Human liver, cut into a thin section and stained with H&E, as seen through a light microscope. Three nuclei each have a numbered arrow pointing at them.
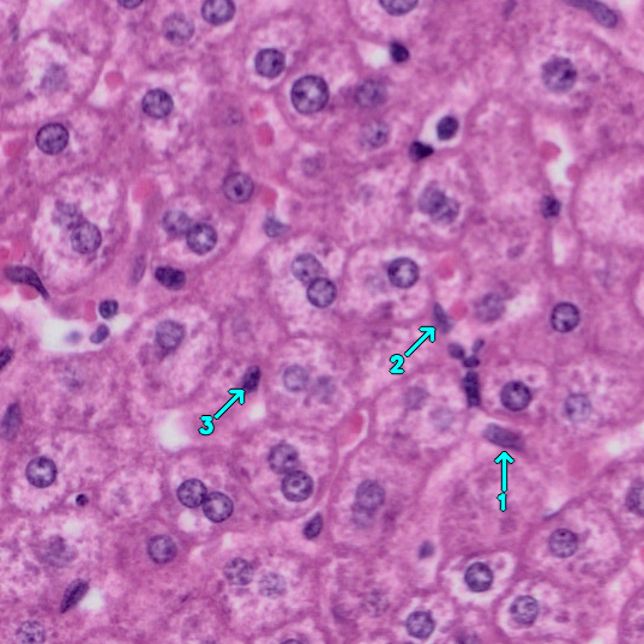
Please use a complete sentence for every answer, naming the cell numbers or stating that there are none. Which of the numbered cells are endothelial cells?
The cell labelled 2 is an endothelial cell, while the remaining numbered cells are not.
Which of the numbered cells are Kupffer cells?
There is only one numbered cell that is a Kupffer cell, and it is cell 1.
